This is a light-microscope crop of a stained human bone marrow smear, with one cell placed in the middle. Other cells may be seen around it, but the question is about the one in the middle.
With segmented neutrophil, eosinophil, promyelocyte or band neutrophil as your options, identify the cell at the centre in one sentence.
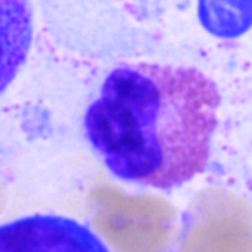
The cell centered in this field of view is an eosinophil.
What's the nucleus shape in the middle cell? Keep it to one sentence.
In short, this nucleus is segmented into two or more parts.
